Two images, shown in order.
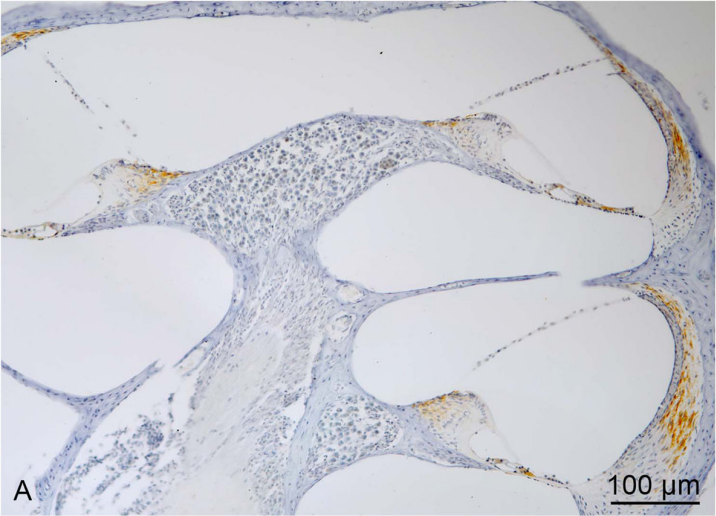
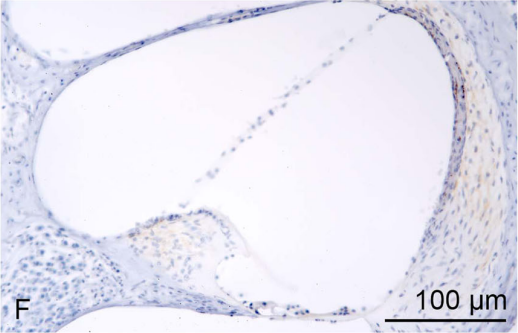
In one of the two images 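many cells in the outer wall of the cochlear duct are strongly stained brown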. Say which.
the first image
